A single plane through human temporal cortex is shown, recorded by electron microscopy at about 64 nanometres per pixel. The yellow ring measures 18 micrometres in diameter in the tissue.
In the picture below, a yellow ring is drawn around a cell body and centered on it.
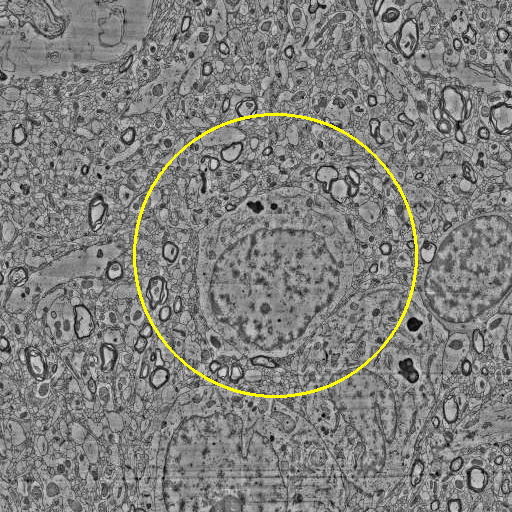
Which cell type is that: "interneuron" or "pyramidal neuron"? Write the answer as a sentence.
The cell centered in the ring is an interneuron.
